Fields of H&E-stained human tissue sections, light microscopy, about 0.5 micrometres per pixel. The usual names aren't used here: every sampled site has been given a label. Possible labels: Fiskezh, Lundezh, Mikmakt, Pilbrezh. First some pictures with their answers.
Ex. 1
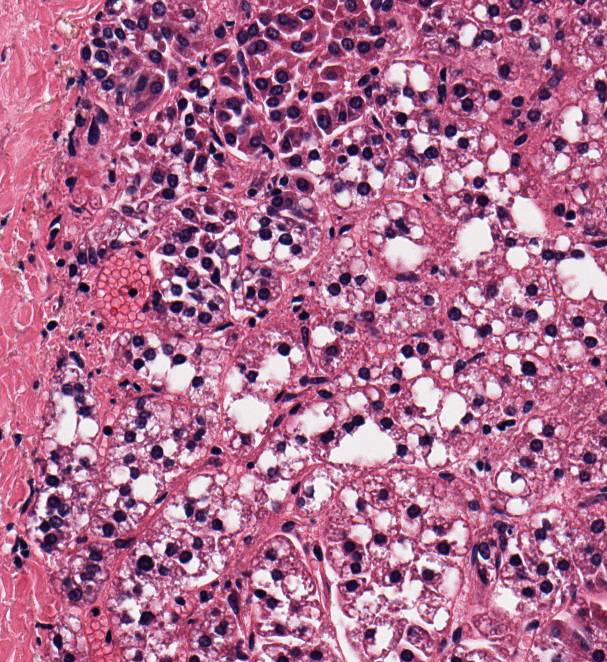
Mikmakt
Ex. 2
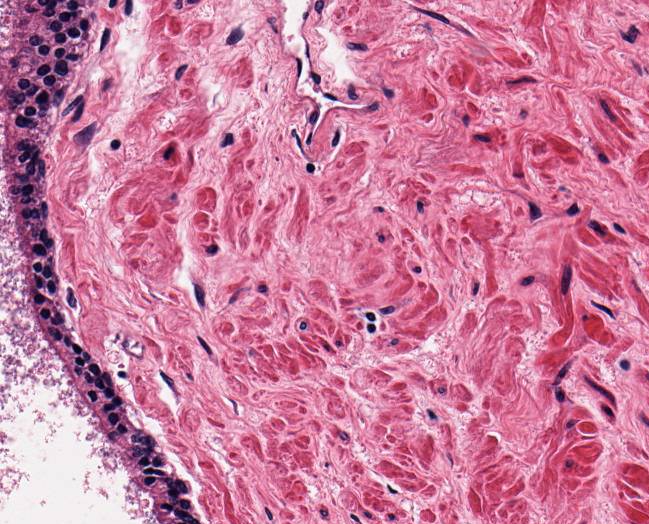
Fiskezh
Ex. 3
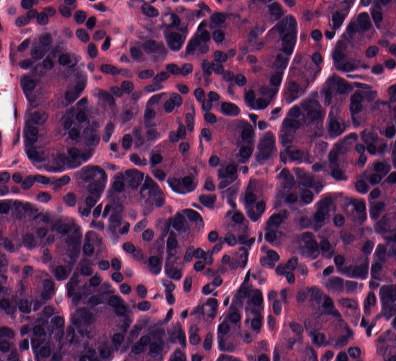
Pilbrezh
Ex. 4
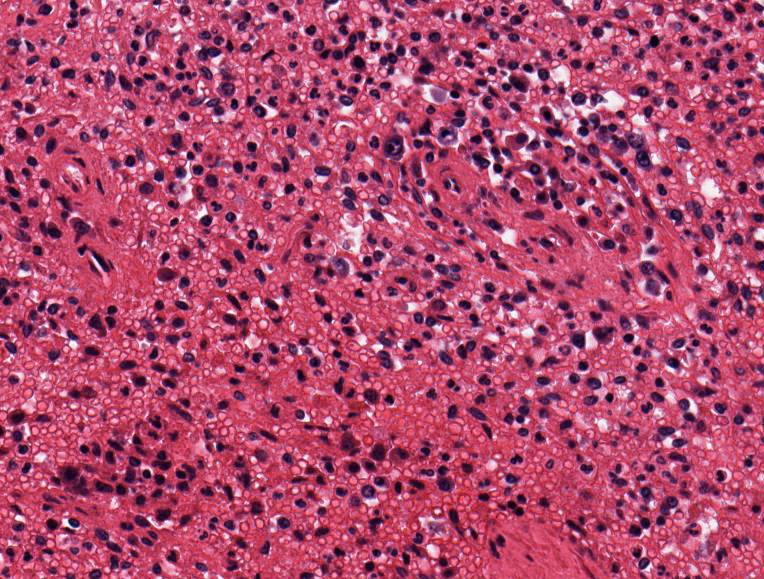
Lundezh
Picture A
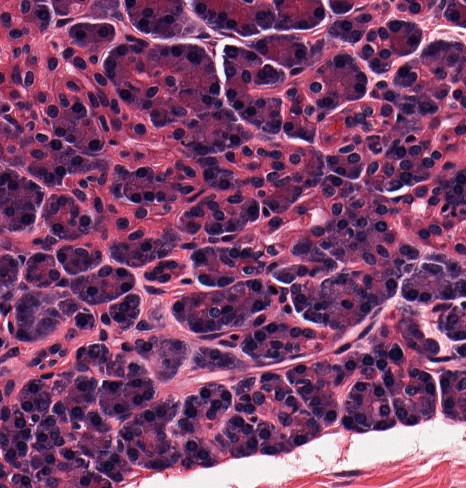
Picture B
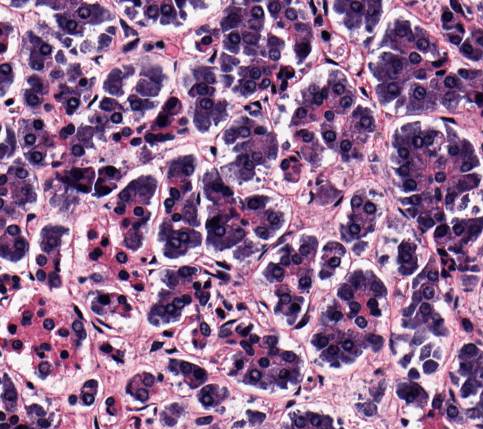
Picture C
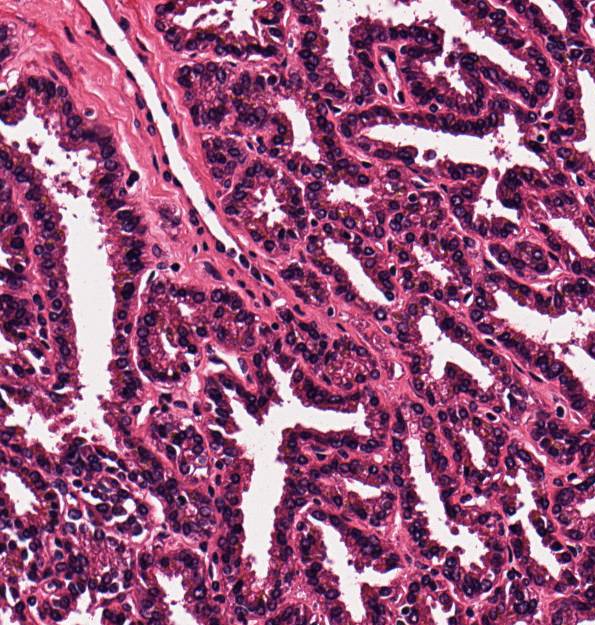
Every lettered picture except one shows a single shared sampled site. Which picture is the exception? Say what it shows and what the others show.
Picture C: Fiskezh. All others: Pilbrezh.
